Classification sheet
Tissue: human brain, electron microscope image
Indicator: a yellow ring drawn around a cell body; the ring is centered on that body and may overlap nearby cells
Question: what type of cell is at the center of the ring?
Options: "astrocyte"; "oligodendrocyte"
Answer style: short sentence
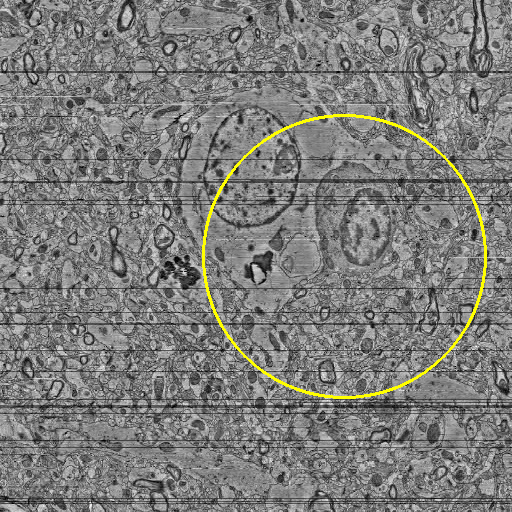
At the ring's center is an oligodendrocyte.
